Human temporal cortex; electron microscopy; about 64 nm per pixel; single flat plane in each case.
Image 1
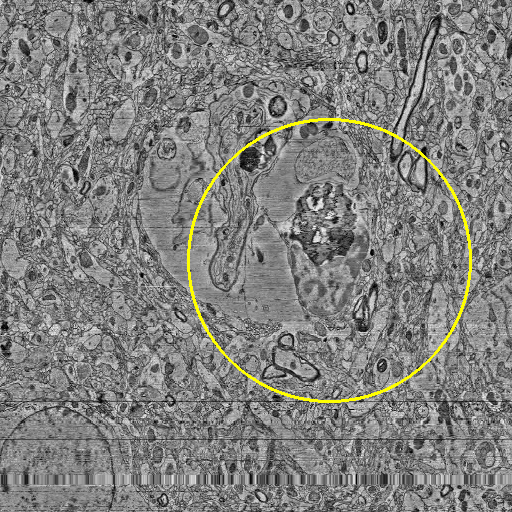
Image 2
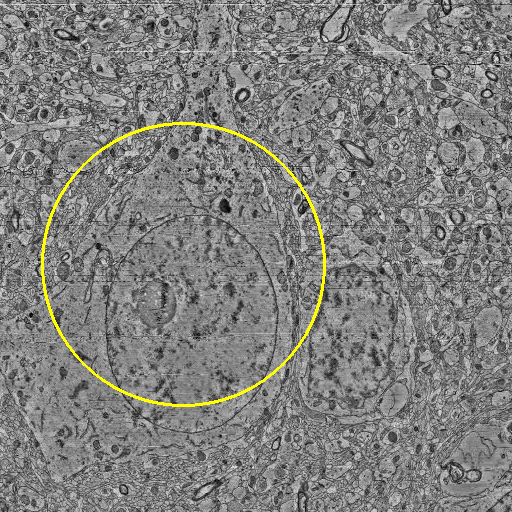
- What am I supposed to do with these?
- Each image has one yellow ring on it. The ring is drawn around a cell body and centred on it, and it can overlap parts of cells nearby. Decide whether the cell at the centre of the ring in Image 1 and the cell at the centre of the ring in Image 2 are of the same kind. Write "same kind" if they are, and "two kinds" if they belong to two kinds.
two kinds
